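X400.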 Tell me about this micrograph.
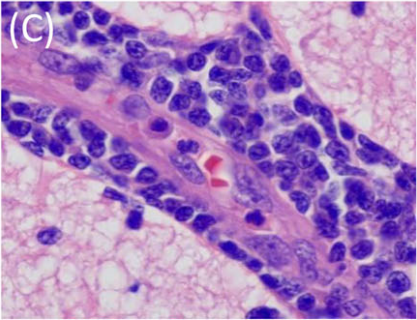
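This is a small blood vessel in brain tissue, cuffed by a dense infiltrate of small lymphocytes. The lumen holds a few red blood cells, and on either side the vessel wall is crowded with small cells that have round, dark nuclei with clumped chromatin and scant cytoplasm. Beyond the cuff the surrounding tissue is pale pink and finely vacuolated.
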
